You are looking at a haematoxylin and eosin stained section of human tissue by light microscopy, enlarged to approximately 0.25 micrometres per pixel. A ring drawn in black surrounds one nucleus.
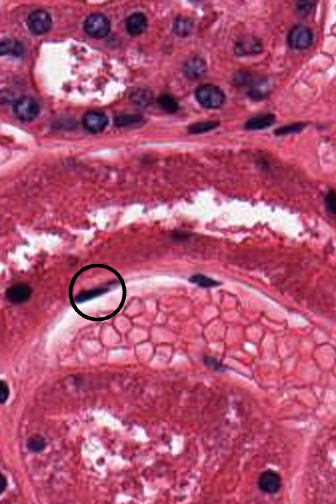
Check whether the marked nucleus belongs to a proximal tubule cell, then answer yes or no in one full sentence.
No, the marked nucleus is to be assigned to a supporting cell, not to a proximal tubule cell.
